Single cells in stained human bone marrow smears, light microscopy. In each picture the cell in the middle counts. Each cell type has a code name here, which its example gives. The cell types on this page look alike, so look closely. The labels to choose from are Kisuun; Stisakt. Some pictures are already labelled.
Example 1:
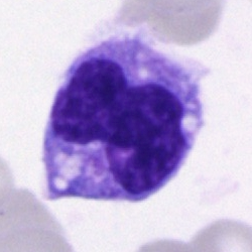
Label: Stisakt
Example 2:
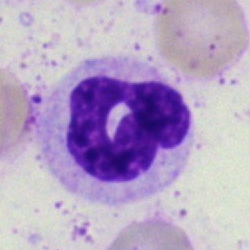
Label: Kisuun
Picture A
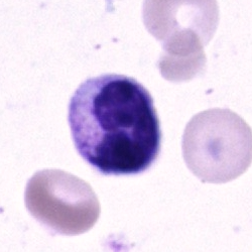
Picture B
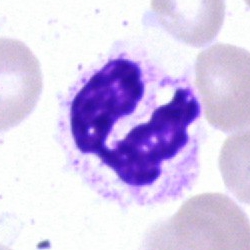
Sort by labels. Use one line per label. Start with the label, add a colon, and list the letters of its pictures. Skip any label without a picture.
Kisuun: A, B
